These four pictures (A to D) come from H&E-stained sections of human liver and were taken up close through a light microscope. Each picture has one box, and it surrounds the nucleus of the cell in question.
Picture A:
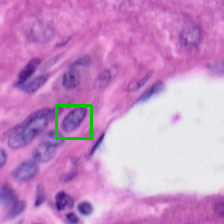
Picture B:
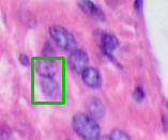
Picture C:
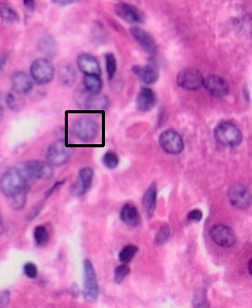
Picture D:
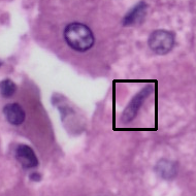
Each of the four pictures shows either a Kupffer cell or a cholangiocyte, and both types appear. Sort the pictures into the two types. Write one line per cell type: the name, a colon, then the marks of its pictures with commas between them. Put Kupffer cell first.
Kupffer cell: D
cholangiocyte: A, B, C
